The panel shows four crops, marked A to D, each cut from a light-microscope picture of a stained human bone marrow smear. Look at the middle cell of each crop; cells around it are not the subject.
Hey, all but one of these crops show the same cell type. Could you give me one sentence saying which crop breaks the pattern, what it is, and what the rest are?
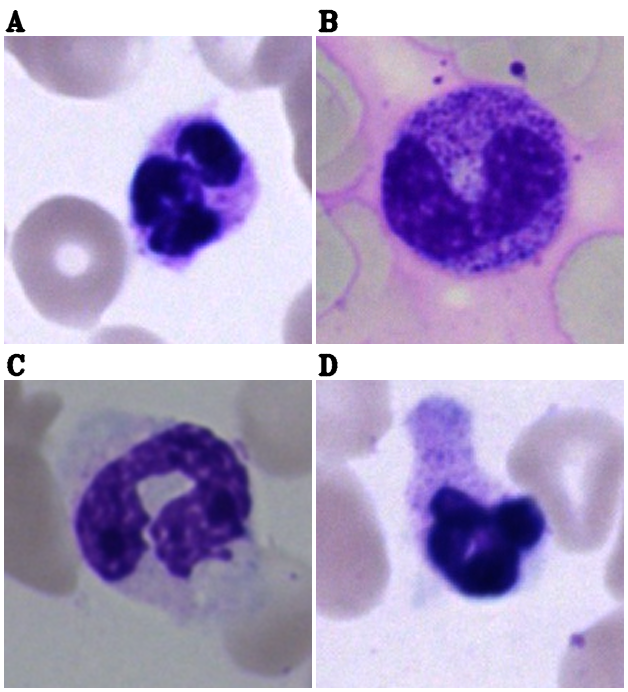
Among these crops, segmented neutrophils occur in all but crop B, which contains a band neutrophil.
